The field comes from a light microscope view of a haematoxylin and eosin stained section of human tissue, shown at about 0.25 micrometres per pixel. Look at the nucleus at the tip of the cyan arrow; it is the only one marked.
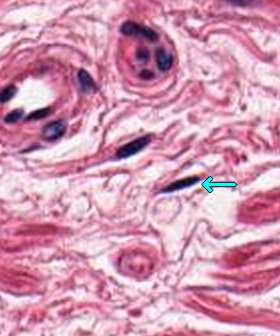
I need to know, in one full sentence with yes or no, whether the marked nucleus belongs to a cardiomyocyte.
No, it is not a cardiomyocyte that owns the marked nucleus but a supporting cell.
